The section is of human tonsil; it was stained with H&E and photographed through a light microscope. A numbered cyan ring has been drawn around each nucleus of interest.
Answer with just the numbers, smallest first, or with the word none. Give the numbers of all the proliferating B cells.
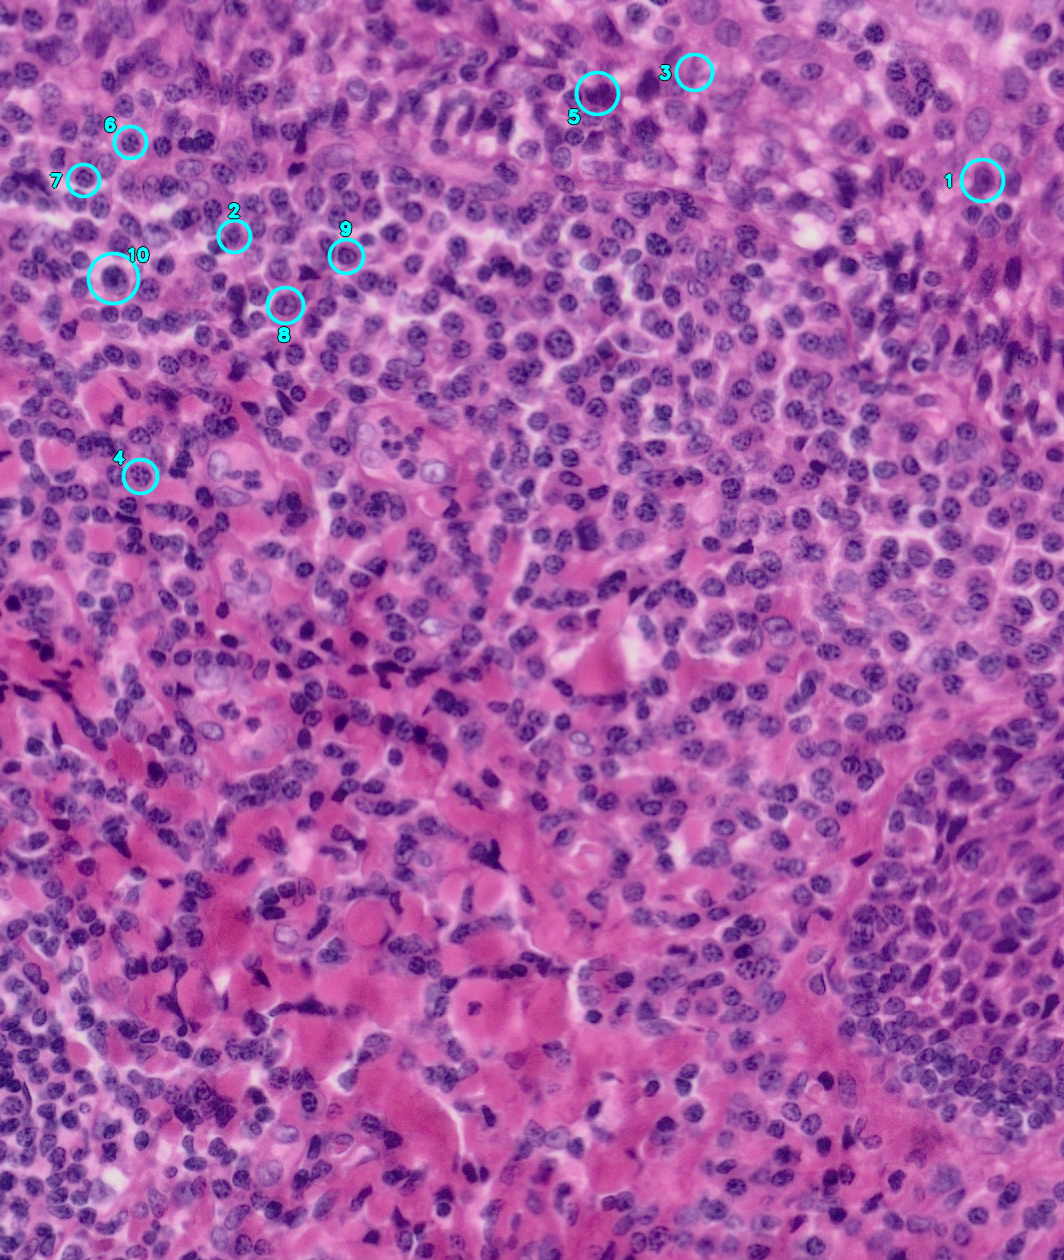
10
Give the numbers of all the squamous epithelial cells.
1, 3, 5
